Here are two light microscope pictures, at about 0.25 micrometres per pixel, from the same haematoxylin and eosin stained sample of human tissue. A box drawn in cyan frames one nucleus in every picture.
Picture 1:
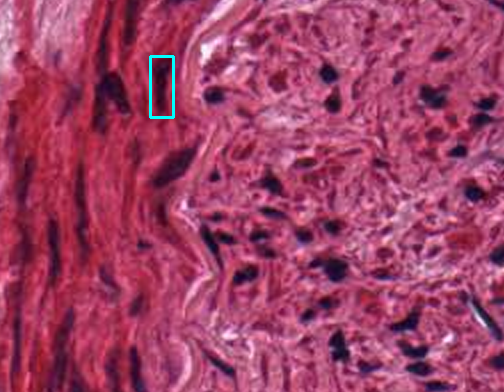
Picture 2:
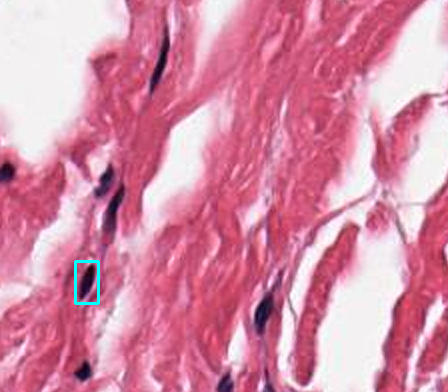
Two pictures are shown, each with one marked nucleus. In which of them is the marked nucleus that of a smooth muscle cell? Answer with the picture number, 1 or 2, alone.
1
